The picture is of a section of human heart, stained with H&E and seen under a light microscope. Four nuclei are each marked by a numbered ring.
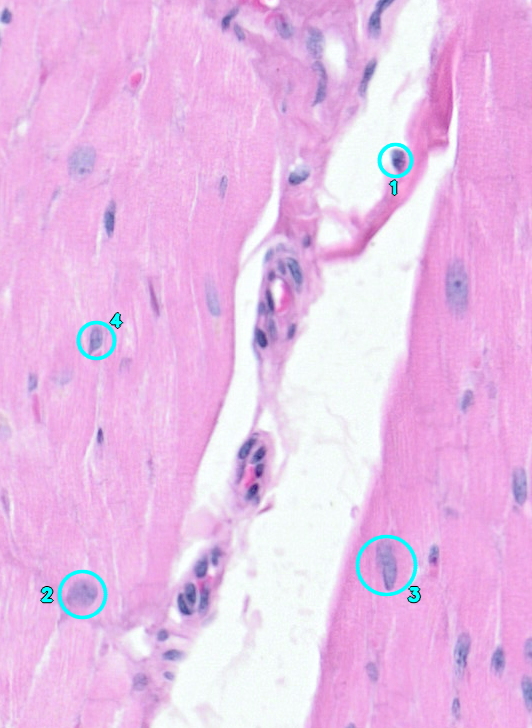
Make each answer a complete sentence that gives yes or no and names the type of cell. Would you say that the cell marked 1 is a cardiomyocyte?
No, cell 1 represents a fibroblast rather than a cardiomyocyte.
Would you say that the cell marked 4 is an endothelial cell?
Yes. The cell carrying number 4 is an endothelial cell.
